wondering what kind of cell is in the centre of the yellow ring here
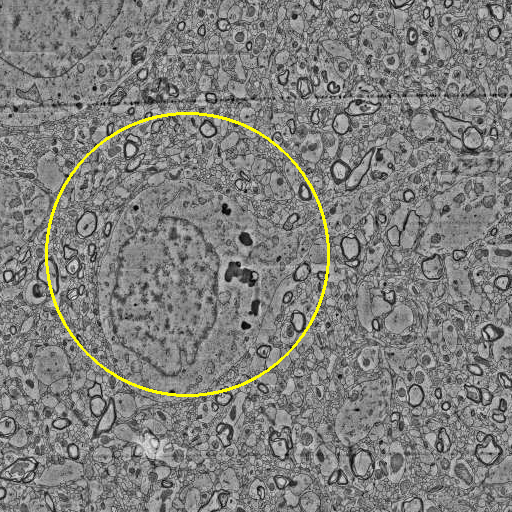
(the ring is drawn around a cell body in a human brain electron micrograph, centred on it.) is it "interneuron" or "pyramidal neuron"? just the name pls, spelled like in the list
interneuron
